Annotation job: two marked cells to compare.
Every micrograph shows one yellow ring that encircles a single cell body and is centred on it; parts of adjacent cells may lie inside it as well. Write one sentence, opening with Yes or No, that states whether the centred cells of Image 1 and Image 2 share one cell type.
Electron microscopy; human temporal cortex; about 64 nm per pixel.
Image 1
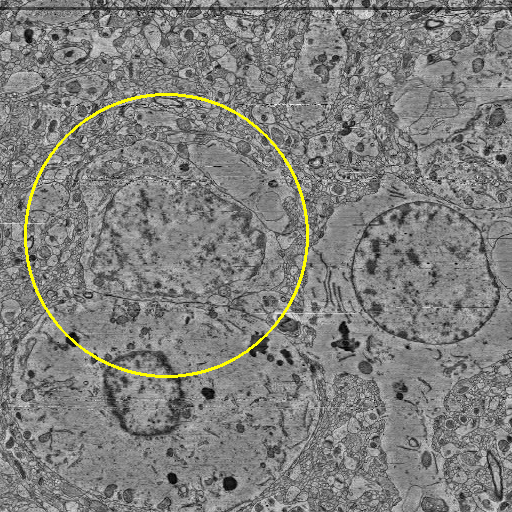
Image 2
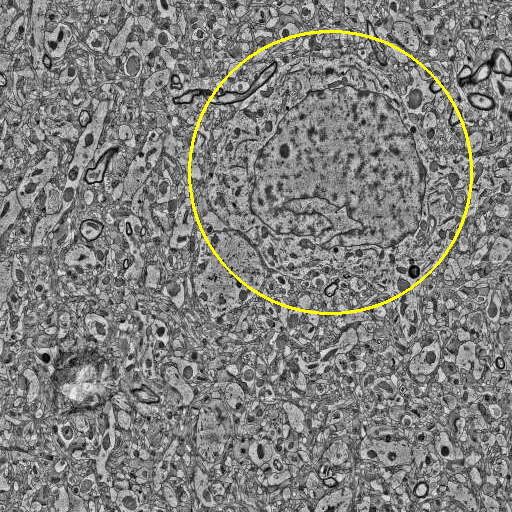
Yes, the cell centred in Image 1 shares its type with the cell centred in Image 2.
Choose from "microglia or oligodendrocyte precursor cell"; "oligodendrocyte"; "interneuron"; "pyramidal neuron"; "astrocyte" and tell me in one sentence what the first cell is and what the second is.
The ring centre holds an interneuron in each of the two pictures.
